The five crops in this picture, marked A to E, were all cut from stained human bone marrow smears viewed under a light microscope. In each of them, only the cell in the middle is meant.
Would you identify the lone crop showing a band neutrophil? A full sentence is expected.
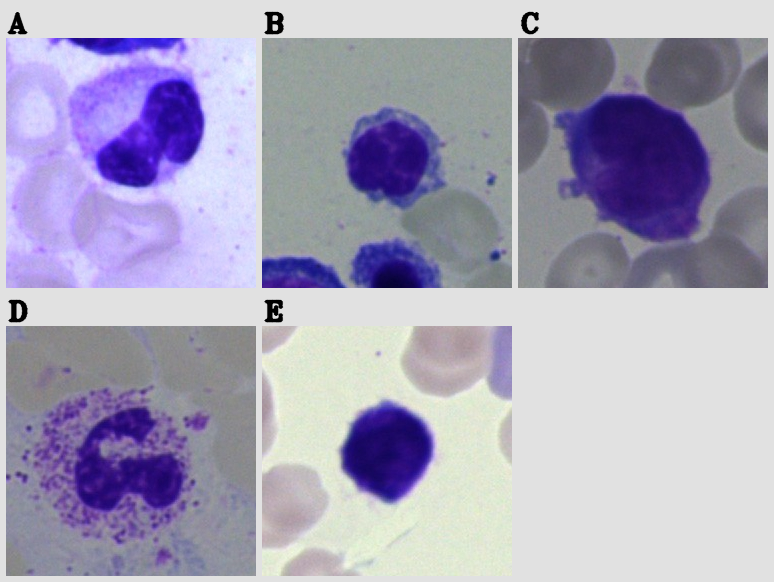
The crop marked A is the one that shows a band neutrophil.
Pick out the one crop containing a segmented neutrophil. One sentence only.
On review of the set, crop D is the one showing a segmented neutrophil.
